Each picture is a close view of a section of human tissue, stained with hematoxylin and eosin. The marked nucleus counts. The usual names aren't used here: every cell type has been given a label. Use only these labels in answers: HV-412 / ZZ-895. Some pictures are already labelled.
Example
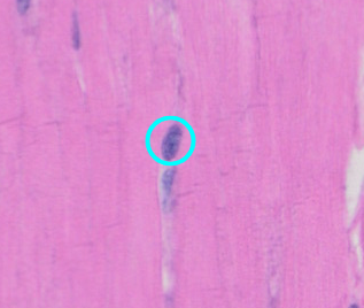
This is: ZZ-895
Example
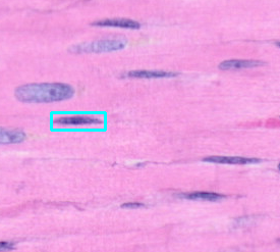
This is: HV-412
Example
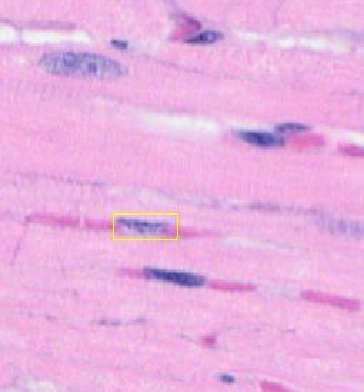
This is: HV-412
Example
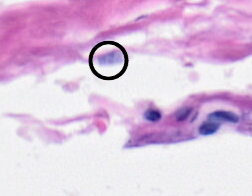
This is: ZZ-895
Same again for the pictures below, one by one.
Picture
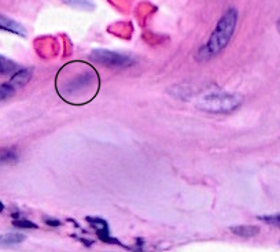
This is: HV-412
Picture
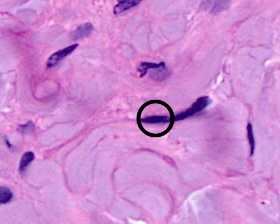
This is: ZZ-895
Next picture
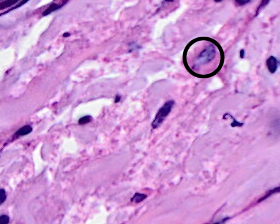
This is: HV-412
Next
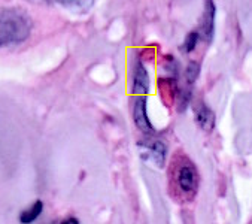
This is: HV-412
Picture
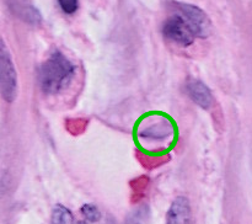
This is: HV-412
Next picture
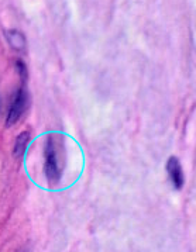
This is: ZZ-895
